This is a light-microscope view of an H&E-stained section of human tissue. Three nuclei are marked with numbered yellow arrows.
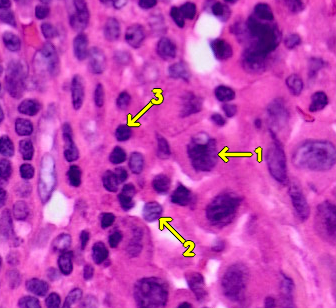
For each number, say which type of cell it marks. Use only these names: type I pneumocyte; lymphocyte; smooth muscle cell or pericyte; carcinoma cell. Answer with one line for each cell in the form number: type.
1: carcinoma cell
2: lymphocyte
3: lymphocyte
